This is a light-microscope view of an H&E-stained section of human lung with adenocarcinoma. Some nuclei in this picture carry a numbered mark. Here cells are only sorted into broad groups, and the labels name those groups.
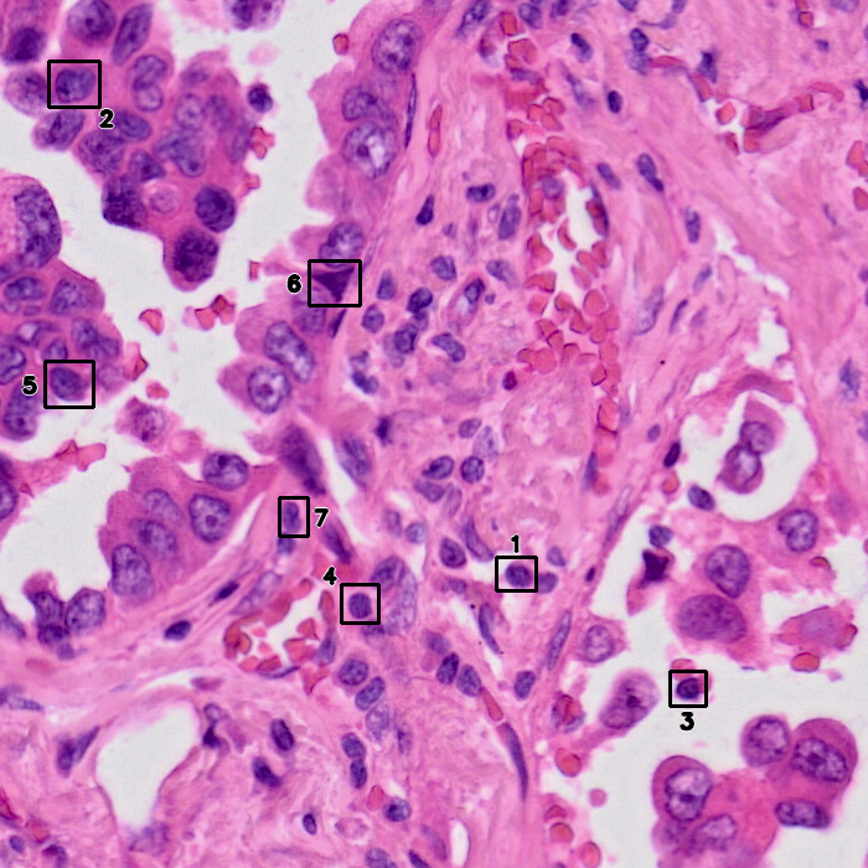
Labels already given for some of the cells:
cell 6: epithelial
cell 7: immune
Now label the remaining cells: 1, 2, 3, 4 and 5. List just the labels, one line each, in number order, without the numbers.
immune
epithelial
immune
immune
epithelial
